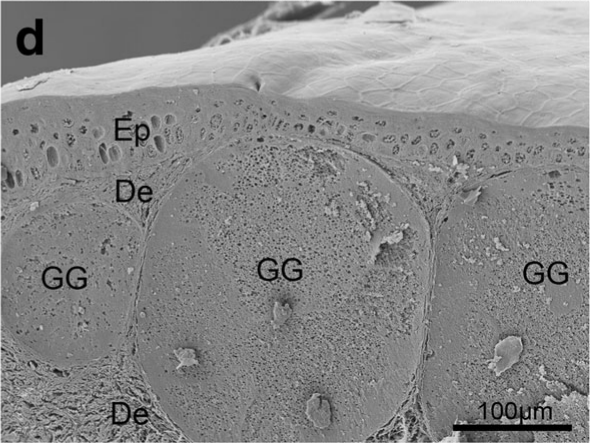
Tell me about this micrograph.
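Section through skin with the epithelium at the surface, dermis beneath it, and large roundish granular glands lying just under the epithelium. The epithelium forms a band pierced by many small rounded cavities, and its outer surface shows polygonal cell outlines. Thin fibrous dermis runs between and around the glands and separates them from one another. The glands are large rounded bodies filled with finely granular content.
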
